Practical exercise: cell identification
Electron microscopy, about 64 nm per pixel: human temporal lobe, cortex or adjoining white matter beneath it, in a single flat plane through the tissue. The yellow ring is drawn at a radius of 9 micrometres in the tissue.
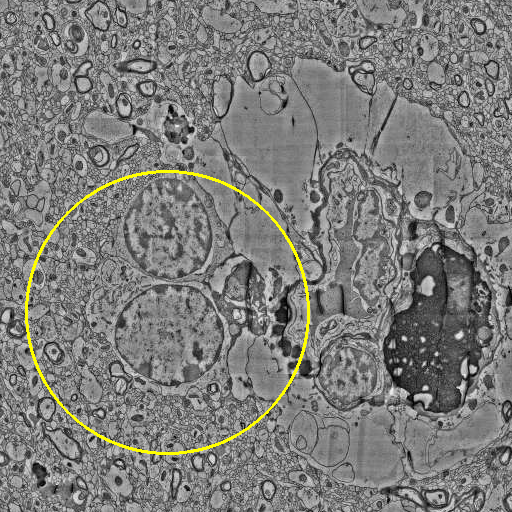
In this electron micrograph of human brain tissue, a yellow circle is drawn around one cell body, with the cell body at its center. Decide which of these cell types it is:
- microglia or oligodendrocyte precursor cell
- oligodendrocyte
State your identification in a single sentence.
The ringed cell is a microglial cell or oligodendrocyte precursor cell.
